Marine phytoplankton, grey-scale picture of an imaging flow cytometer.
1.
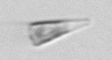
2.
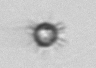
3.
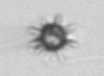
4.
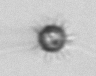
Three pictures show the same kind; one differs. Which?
Picture 1: Licmophora, while the others are Rhabdosphaera.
